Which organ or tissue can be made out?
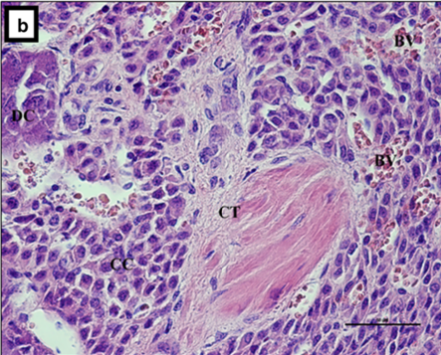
adrenal medulla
